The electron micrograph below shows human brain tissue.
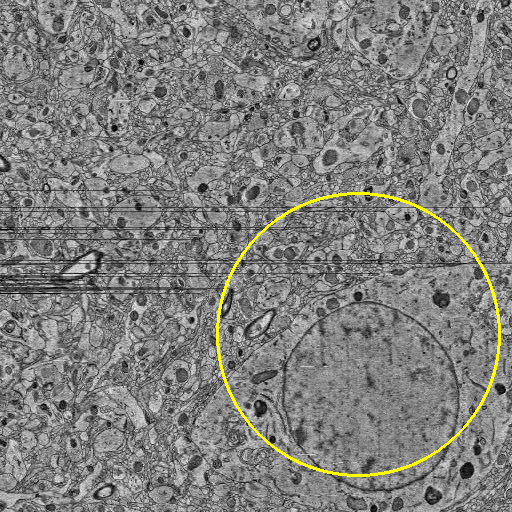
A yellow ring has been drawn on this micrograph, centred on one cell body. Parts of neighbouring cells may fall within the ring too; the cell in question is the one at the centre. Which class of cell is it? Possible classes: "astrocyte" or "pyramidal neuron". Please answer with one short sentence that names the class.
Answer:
In the centre of the ring sits a pyramidal neuron.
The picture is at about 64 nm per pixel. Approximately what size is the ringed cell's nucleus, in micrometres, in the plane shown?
About 13 by 11 micrometers for the nucleus, in this plane.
